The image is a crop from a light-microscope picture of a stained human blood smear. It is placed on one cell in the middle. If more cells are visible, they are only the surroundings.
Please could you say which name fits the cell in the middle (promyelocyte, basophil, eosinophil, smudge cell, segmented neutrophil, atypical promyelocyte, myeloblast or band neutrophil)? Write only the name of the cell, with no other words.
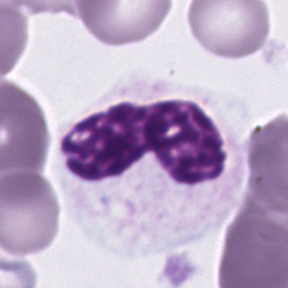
band neutrophil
